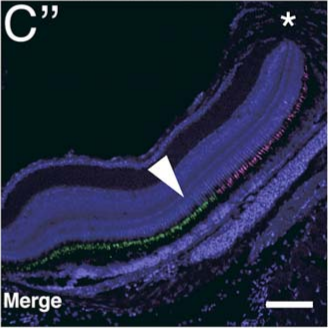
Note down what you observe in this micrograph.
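This is a curved section of a retina with its layers outlined by blue-stained nuclei, including thick bands of densely packed nuclei separated by paler, nucleus-poor layers. A thin row of labelled photoreceptor outer segments runs along the outer edge. This row is green in one stretch of the section and magenta in the stretch nearer the asterisk at the top.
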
